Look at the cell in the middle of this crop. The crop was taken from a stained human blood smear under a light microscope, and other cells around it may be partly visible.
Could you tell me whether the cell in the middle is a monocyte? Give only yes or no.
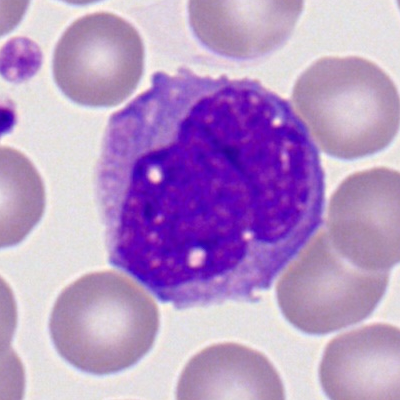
yes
